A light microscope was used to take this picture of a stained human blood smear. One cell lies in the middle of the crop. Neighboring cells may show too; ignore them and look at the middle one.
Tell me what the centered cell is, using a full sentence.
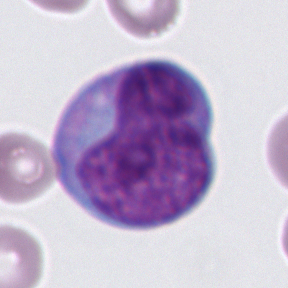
The cell sitting right in the middle is an atypical promyelocyte.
